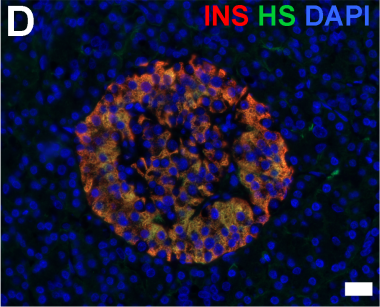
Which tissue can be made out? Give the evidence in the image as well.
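Pancreas. A round, sharply bounded cluster of labelled cells sits in the middle of the field. The cluster is surrounded by unlabelled tissue with densely packed blue nuclei.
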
